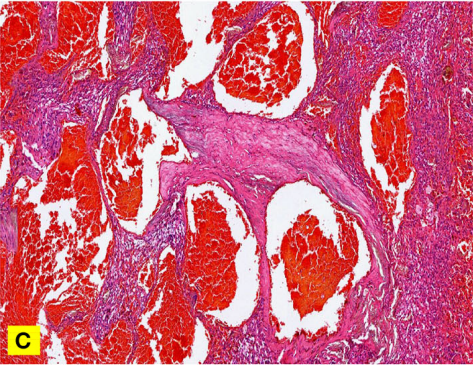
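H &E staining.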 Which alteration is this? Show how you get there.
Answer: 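Large rounded spaces are filled with red blood cells. The spaces are separated by pink fibrous septa and cellular tissue. The answer: Hemangioma-like area.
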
